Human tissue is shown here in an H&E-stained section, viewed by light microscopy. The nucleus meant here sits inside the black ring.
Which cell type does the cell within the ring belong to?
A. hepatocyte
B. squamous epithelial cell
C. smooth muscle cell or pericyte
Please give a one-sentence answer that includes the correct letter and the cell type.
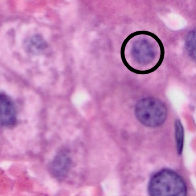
Option A properly identifies the cell within the ring as a hepatocyte.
